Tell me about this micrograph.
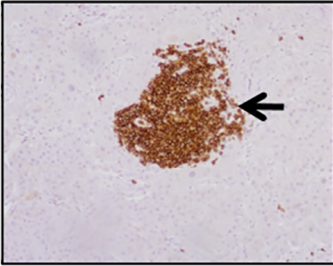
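Within pale tissue of large polygonal cells with faint bluish nuclei, a single compact, rounded nodule of intensely brown-stained cells sits in the upper centre. The nodule is made of tightly packed small round cells and has a fairly sharp border against the surrounding tissue. The surrounding cells are unstained and form sheets with pinkish-pale cytoplasm. Only a few brown cells lie outside the nodule. This is a nodular lymphocytic aggregate.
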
